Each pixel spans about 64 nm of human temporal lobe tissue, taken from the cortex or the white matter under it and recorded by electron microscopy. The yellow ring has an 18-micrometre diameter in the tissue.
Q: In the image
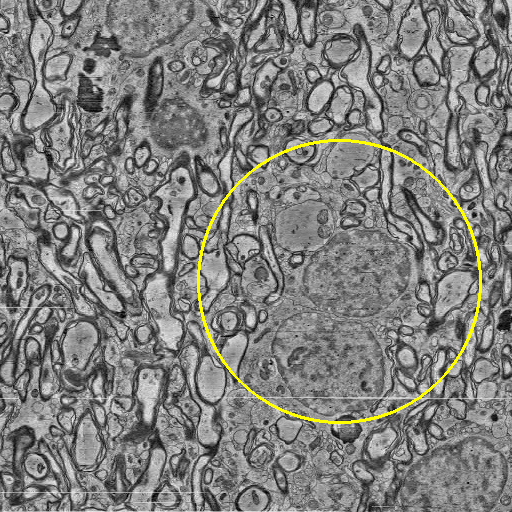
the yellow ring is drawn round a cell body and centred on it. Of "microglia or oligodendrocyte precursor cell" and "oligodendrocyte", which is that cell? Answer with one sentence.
The cell centred in the ring is an oligodendrocyte.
